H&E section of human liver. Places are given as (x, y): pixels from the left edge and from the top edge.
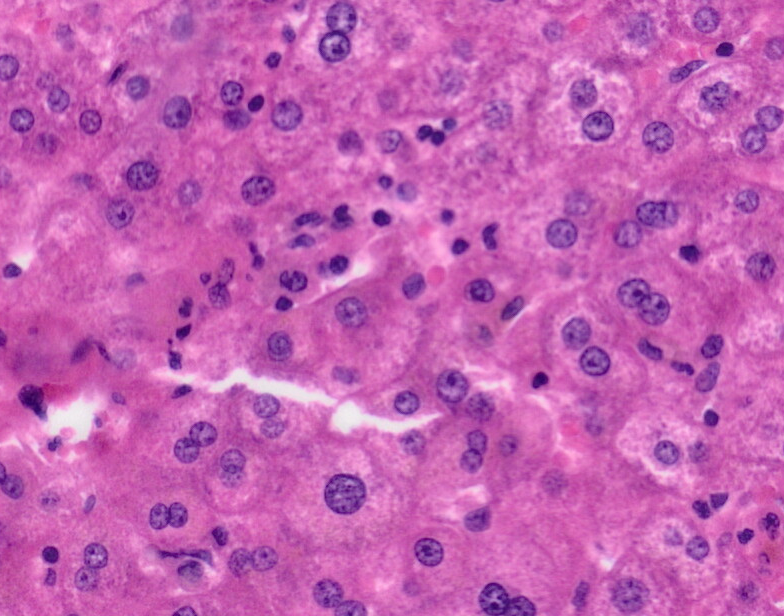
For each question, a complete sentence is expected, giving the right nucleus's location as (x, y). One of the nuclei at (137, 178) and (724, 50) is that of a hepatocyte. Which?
The one at (137, 178) is the nucleus belonging to a hepatocyte, not the other one.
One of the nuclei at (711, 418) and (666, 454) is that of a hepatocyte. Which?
The nucleus of a hepatocyte is the one at (666, 454).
